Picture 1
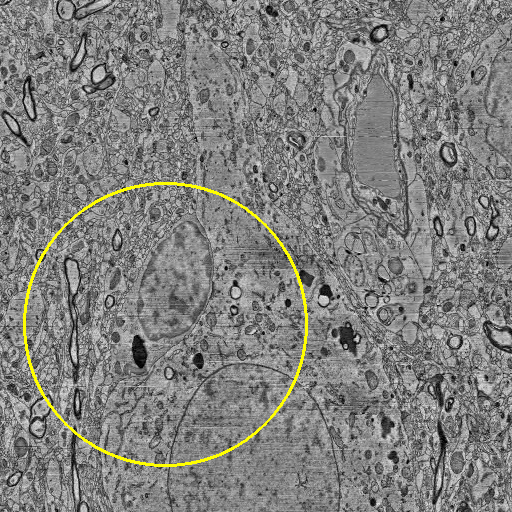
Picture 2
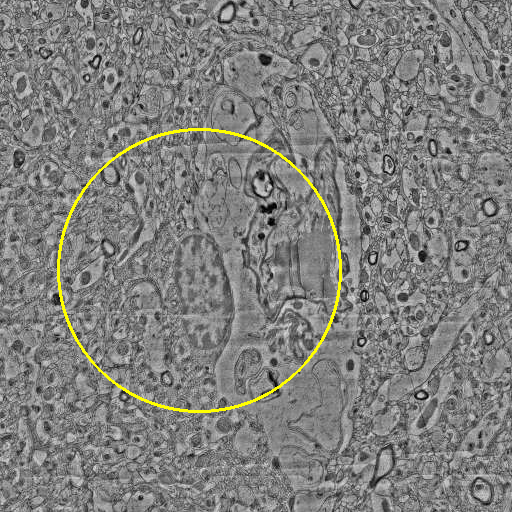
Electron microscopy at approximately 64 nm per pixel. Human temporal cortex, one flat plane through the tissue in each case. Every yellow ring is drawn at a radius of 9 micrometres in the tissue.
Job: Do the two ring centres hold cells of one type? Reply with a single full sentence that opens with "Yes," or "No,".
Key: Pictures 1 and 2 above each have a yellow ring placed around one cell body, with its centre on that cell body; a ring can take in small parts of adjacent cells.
Yes, the cells at the two ring centres are of one single type.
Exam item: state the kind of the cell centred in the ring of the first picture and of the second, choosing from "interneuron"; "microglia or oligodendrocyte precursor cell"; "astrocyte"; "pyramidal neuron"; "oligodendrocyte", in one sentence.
The ring centre holds an oligodendrocyte in each of the two pictures.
